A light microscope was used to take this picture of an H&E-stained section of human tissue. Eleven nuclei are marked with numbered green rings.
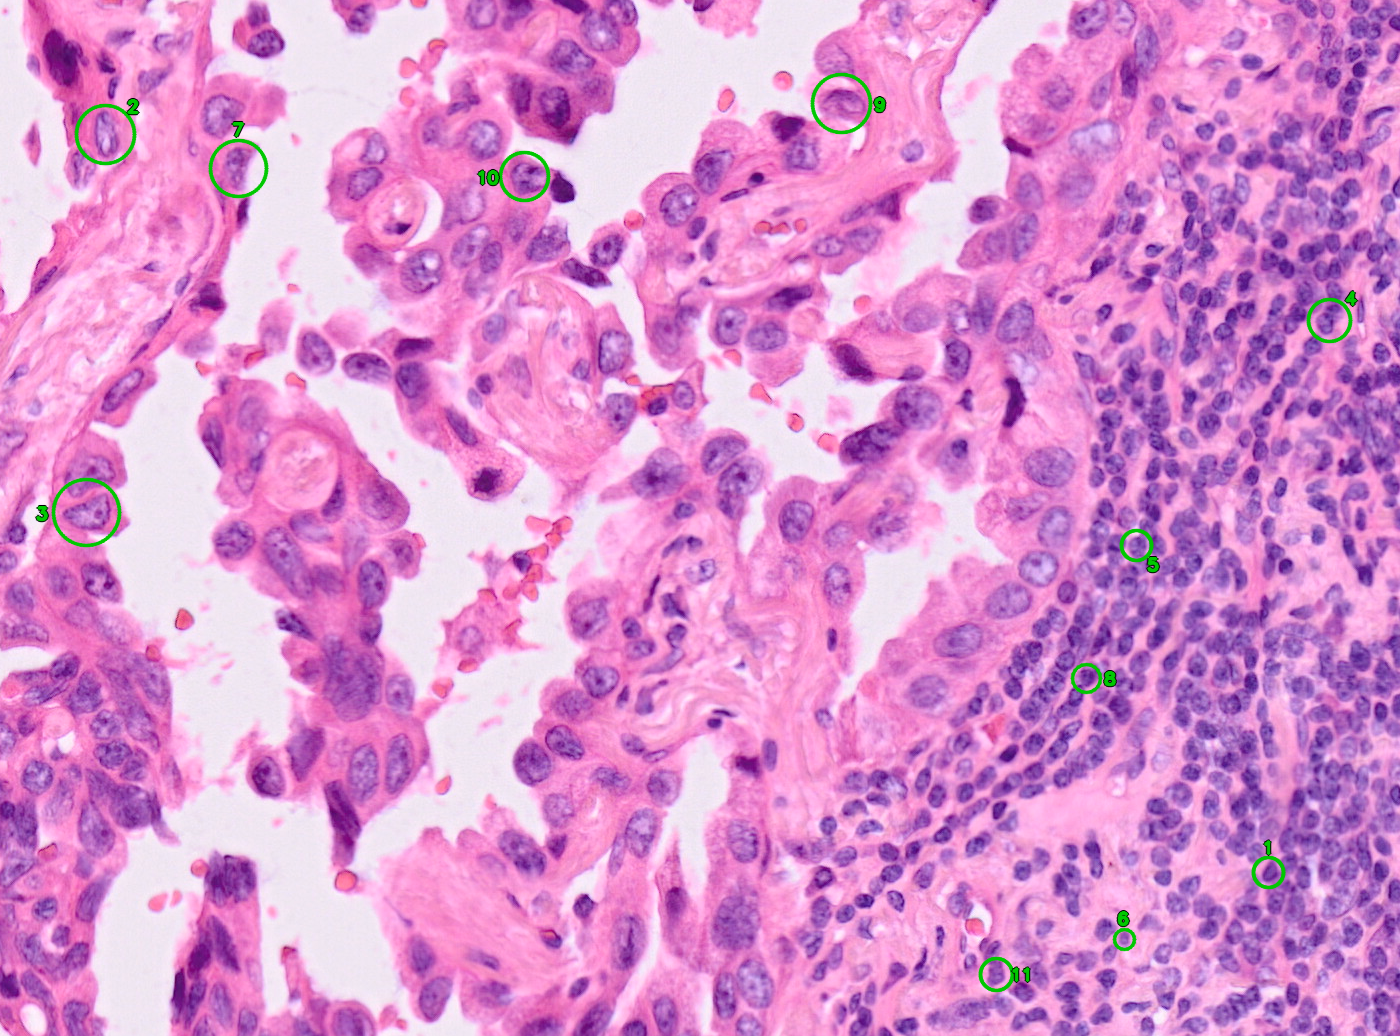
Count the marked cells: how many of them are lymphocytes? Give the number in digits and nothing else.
6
